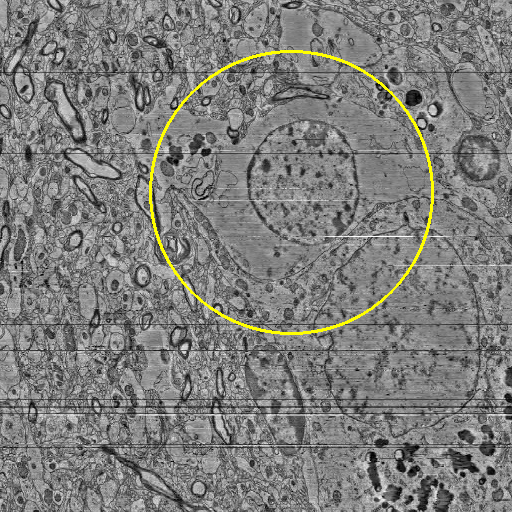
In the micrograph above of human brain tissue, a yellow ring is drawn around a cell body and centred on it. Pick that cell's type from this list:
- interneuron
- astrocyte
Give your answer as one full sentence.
Going by the list, an astrocyte is the cell on which the yellow ring is centred.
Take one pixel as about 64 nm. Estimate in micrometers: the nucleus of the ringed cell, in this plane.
The nucleus measures about 8 by 7 micrometres in this plane.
